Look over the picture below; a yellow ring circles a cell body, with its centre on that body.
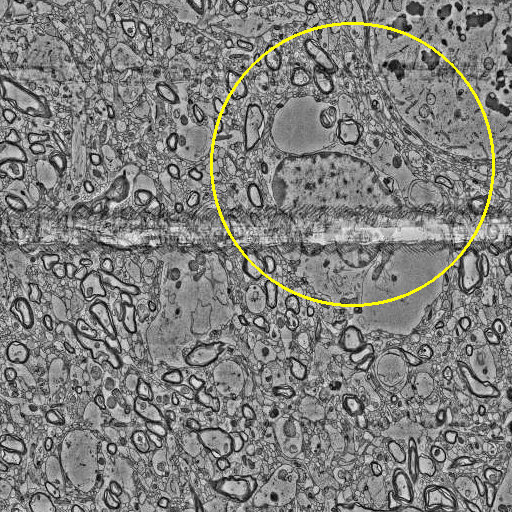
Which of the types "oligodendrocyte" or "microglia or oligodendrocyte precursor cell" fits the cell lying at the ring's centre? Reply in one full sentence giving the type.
The picture shows a microglial cell or oligodendrocyte precursor cell at the centre of the yellow ring.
